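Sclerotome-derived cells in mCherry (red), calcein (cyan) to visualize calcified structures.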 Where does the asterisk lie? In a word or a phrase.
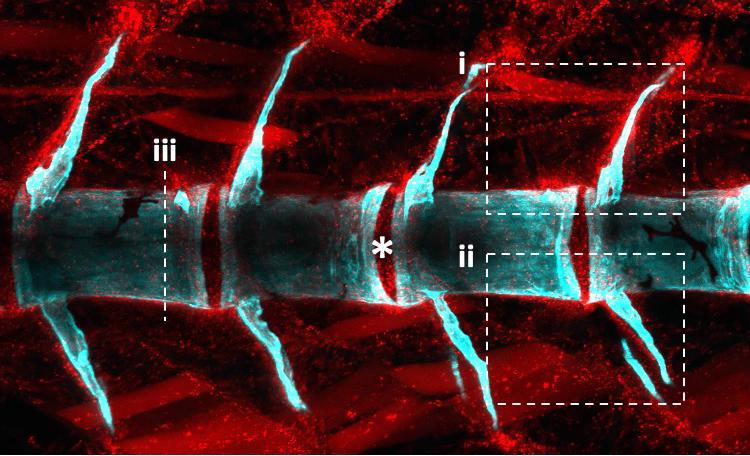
Regions between the vertebral bodies.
